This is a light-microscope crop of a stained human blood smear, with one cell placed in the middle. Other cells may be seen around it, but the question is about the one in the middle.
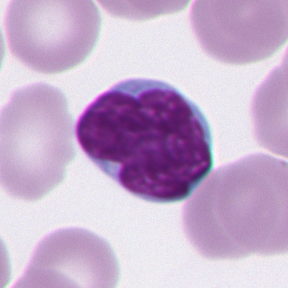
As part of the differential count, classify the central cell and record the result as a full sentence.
Of the cells in this crop, the central one is a typical lymphocyte.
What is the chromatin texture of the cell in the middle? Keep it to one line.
Heads up, the chromatin in this one is coarsely clumped.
